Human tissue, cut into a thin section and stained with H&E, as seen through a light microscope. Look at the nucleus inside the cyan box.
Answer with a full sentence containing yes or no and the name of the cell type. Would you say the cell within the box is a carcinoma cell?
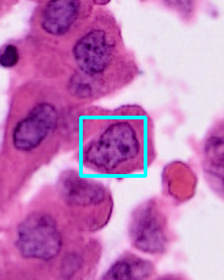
Yes, in this field of view, the cell within the box is a carcinoma cell.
